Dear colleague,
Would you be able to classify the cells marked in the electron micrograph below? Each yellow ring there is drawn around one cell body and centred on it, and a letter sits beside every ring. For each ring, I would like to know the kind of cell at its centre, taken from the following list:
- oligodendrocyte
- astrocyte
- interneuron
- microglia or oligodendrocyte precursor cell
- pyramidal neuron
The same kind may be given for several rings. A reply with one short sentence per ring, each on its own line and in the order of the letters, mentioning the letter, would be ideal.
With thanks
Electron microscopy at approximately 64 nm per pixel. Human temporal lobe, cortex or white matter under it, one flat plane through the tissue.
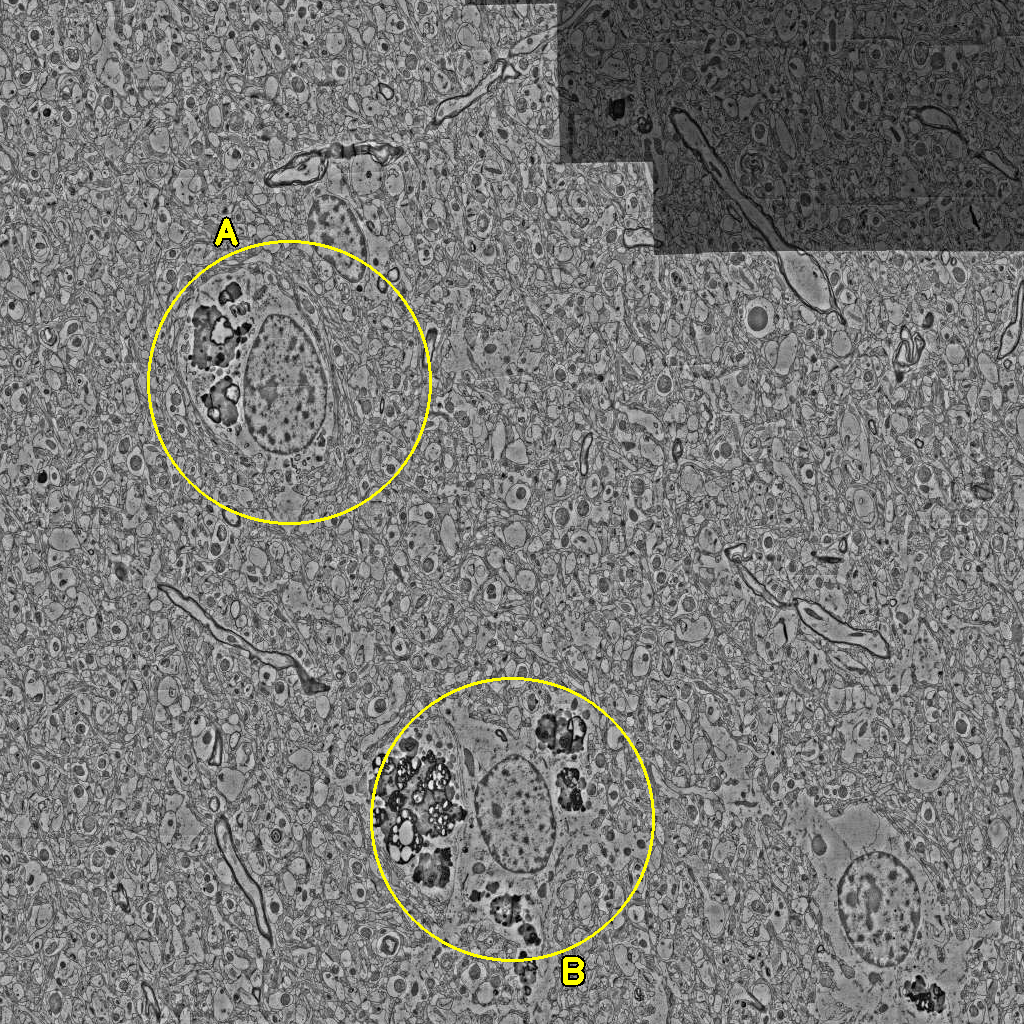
Ring A contains an astrocyte at its centre.
Ring B contains an astrocyte at its centre.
